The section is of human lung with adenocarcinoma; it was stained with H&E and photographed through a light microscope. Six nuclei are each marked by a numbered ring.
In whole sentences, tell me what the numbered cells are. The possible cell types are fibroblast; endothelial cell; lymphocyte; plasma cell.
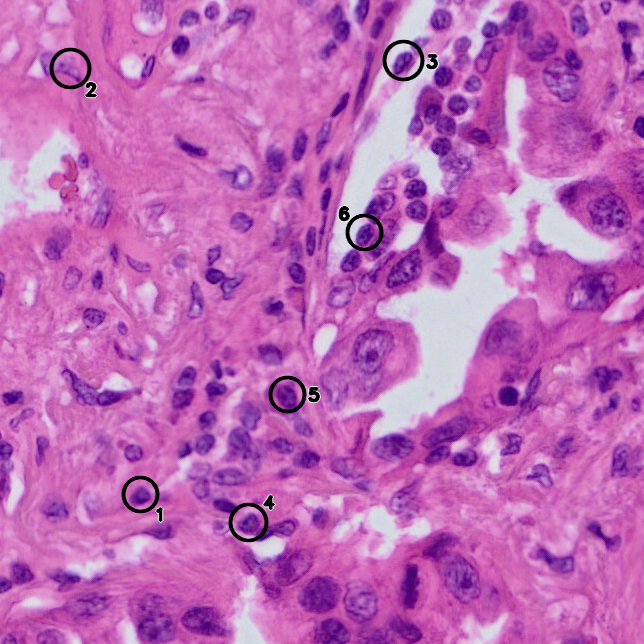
Cell 1 is a lymphocyte, cell 2 is a fibroblast, cell 3 is a lymphocyte, cell 4 is a lymphocyte, cell 5 is a plasma cell and cell 6 is a lymphocyte.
